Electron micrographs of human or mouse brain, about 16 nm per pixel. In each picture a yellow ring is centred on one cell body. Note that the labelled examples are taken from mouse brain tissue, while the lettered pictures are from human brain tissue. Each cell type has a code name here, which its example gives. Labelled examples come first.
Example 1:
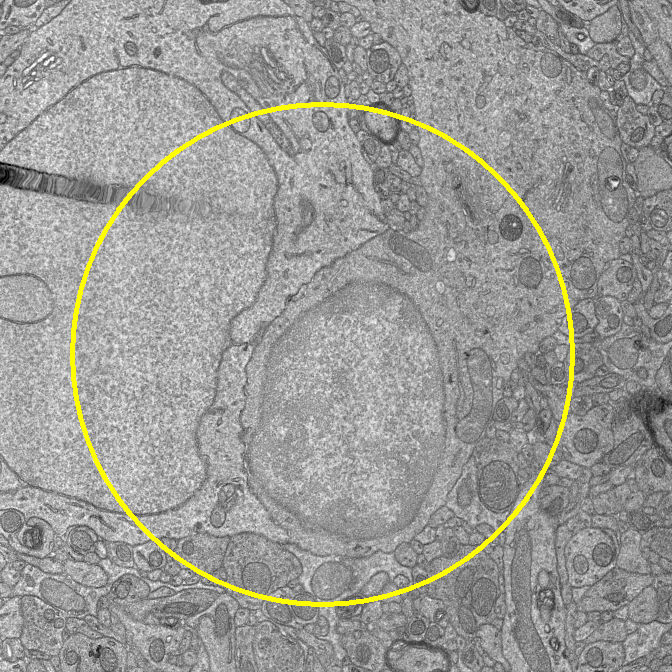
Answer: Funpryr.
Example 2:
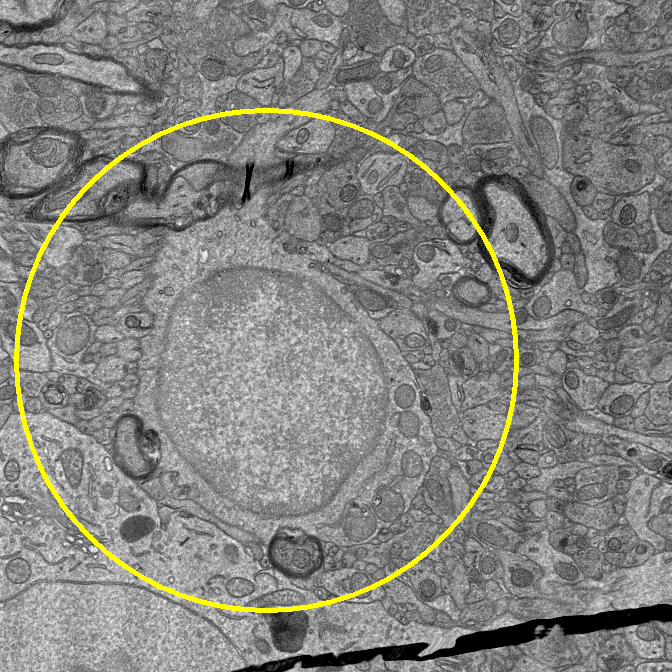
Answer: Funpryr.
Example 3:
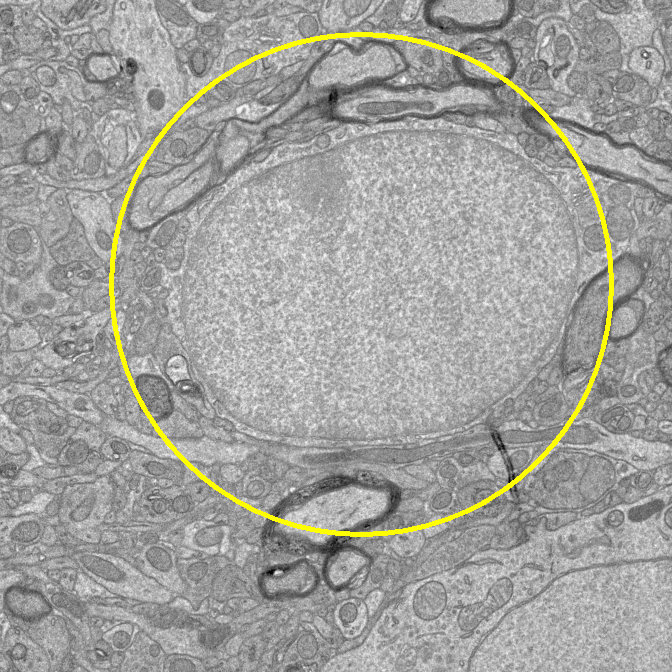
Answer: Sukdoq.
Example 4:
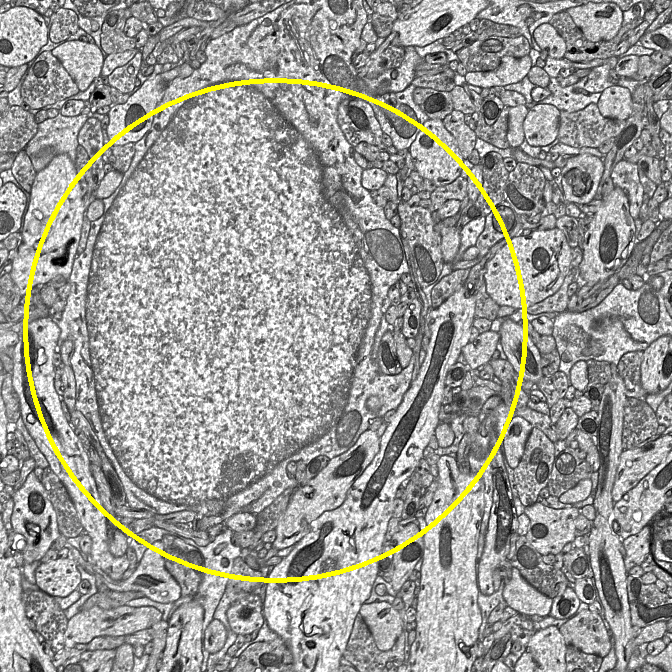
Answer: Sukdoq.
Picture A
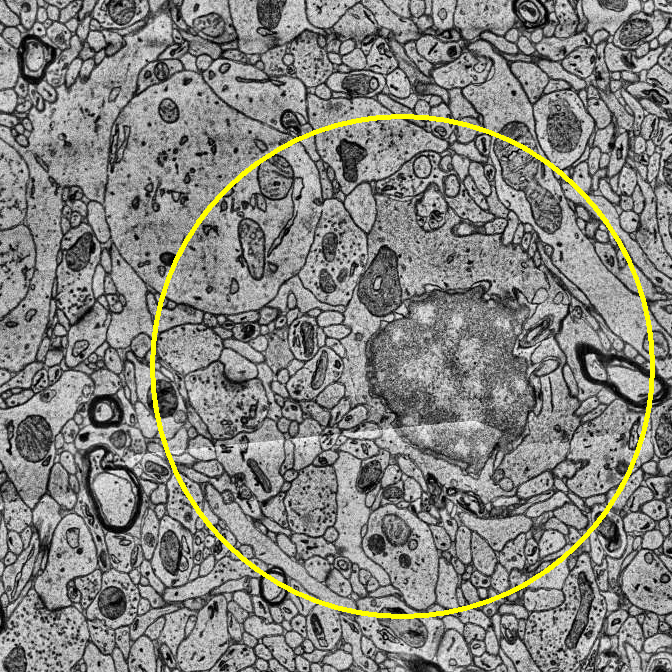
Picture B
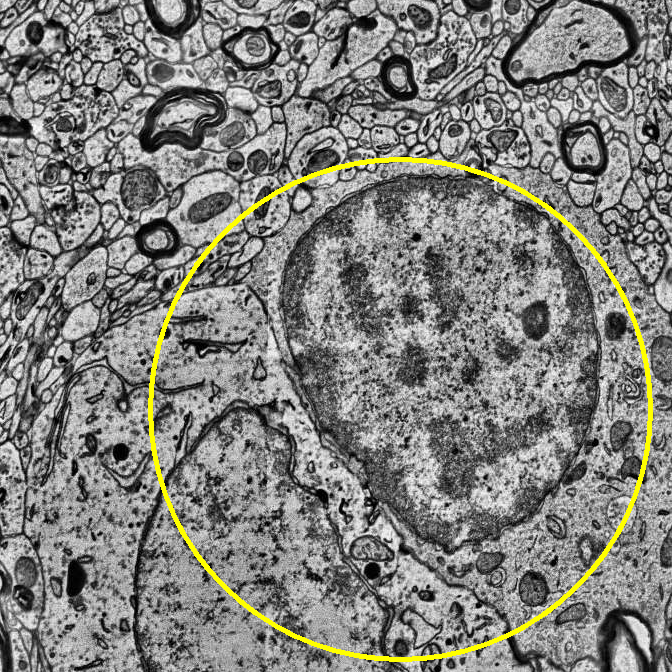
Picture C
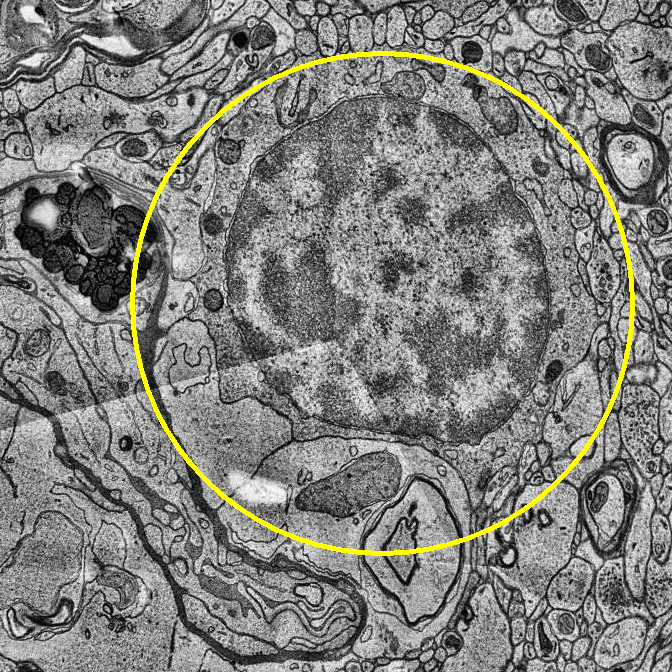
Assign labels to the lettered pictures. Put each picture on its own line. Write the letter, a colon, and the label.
A: Funpryr.
B: Funpryr.
C: Funpryr.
